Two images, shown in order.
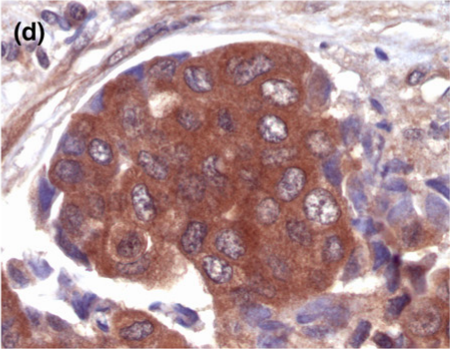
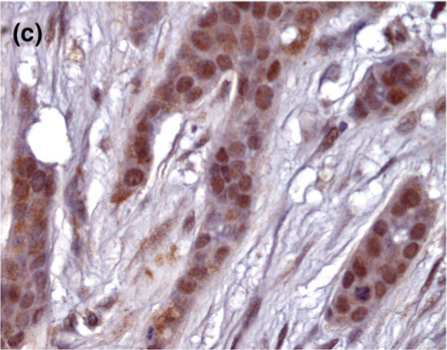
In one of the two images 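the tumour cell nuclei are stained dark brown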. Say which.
The second image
